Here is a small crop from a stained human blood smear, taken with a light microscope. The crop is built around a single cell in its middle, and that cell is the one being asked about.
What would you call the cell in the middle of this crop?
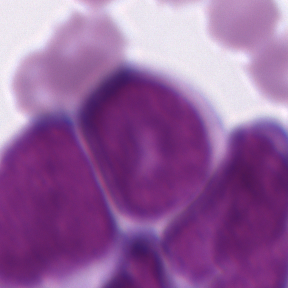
myeloblast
